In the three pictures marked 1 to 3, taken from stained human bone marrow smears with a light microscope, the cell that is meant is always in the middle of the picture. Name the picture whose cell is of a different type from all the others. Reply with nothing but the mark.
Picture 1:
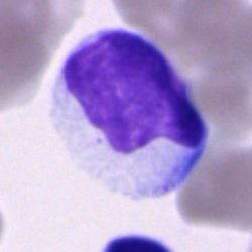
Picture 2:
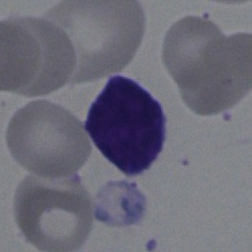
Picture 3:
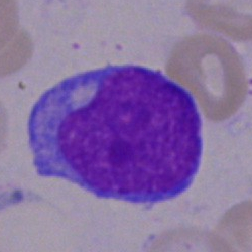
2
